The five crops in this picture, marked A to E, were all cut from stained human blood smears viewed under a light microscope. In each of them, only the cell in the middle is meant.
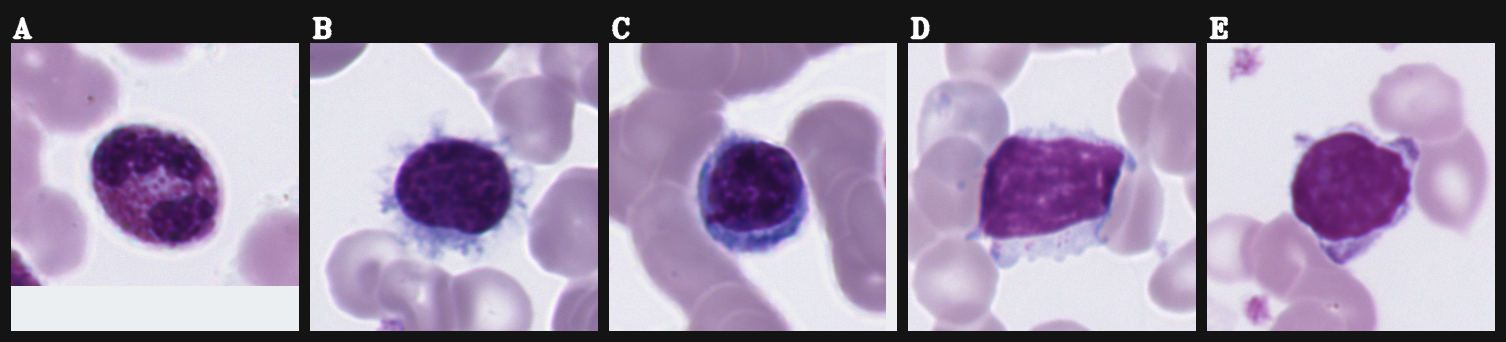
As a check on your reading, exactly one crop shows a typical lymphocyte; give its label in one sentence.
Crop E is the crop that displays a typical lymphocyte.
